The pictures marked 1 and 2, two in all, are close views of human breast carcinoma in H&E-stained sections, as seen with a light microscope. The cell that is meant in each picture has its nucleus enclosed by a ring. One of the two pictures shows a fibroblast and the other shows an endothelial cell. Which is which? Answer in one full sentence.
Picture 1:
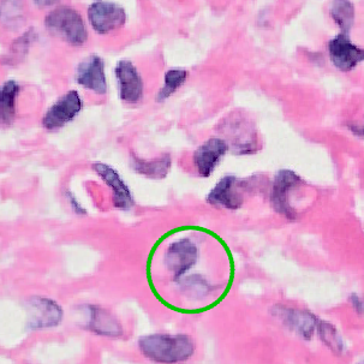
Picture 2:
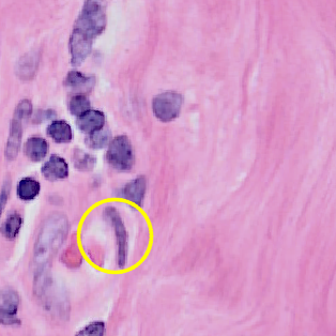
Picture 2 shows an endothelial cell, while picture 1 shows a fibroblast.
